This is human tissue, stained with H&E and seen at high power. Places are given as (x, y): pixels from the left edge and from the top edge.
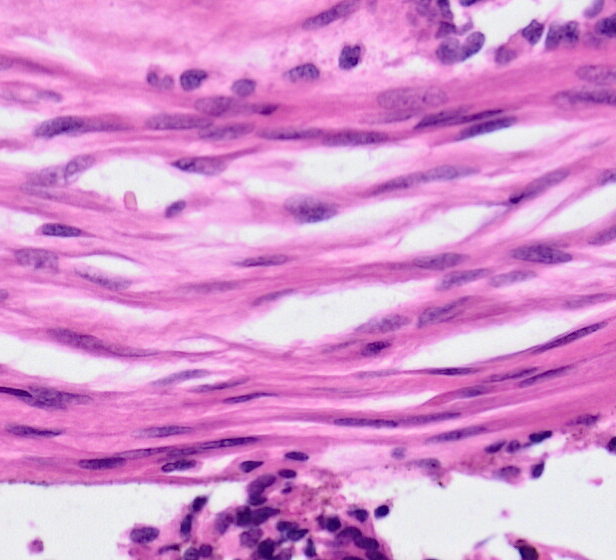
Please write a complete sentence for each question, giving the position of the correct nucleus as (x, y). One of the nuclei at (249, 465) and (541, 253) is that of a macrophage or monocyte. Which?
Heads up, the nucleus at (249, 465) is the one that belongs to a macrophage or monocyte.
